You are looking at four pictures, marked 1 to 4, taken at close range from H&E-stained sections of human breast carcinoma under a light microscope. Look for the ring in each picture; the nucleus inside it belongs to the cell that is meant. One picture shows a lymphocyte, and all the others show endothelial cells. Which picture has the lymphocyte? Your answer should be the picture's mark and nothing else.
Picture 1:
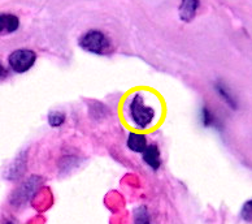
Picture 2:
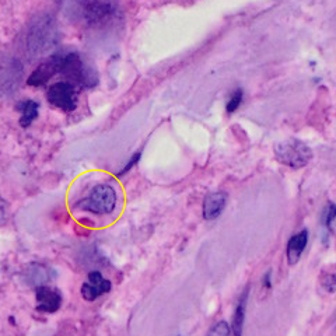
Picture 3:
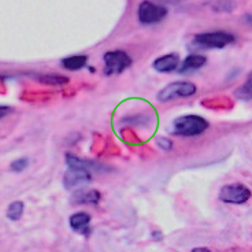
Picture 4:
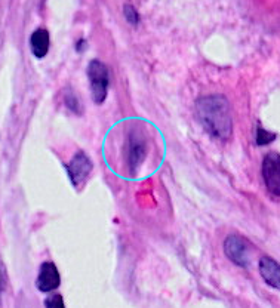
1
